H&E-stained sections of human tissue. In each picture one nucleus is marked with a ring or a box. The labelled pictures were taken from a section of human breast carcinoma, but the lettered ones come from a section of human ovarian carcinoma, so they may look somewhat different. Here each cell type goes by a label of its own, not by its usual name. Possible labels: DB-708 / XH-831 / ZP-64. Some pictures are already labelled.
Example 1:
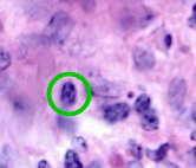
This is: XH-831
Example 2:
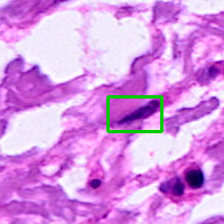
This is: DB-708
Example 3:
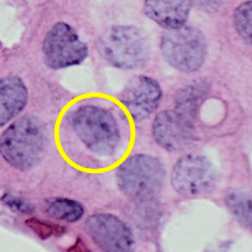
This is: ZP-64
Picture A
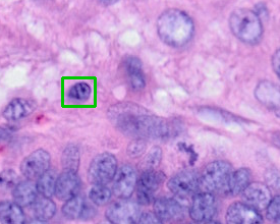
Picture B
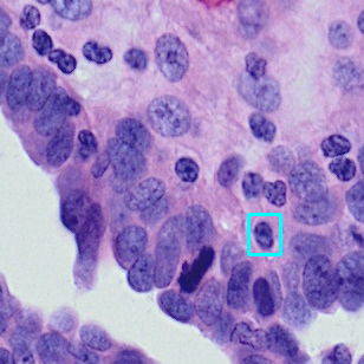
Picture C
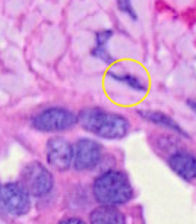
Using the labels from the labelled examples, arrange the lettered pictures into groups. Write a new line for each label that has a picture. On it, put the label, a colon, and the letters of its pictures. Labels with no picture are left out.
DB-708: C
XH-831: A, B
